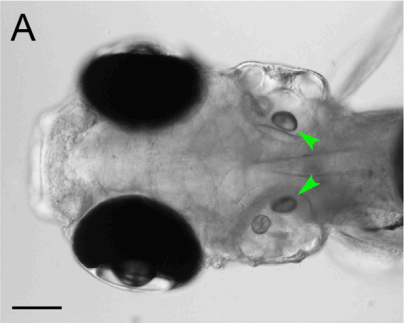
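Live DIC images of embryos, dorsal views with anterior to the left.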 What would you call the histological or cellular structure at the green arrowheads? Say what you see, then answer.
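Each ear behind the eyes holds two dense, dark, rounded bodies. The arrowheads point to the more posterior and medial of the two bodies in each ear.
Saccular otoliths.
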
